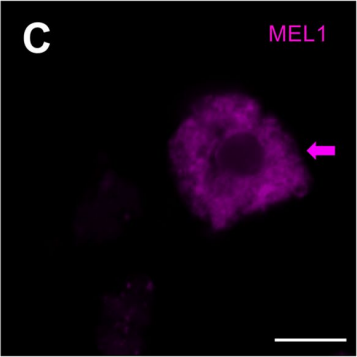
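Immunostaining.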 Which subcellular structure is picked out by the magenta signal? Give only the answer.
cytoplasm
